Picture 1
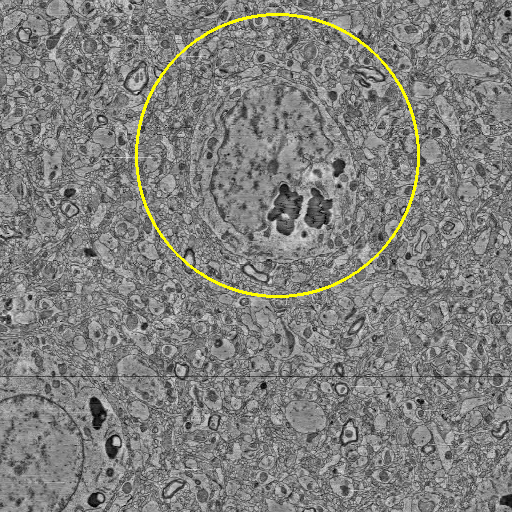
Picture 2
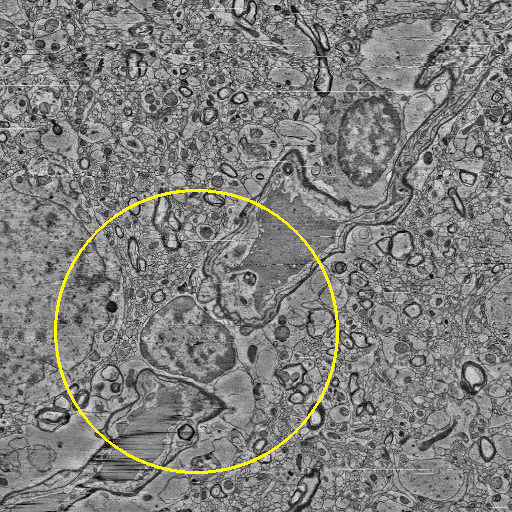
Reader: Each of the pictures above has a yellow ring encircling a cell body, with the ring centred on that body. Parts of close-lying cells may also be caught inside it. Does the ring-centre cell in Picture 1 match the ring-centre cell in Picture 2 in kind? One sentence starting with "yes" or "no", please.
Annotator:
No, Picture 1 and Picture 2 show ring-centre cells of two kinds.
